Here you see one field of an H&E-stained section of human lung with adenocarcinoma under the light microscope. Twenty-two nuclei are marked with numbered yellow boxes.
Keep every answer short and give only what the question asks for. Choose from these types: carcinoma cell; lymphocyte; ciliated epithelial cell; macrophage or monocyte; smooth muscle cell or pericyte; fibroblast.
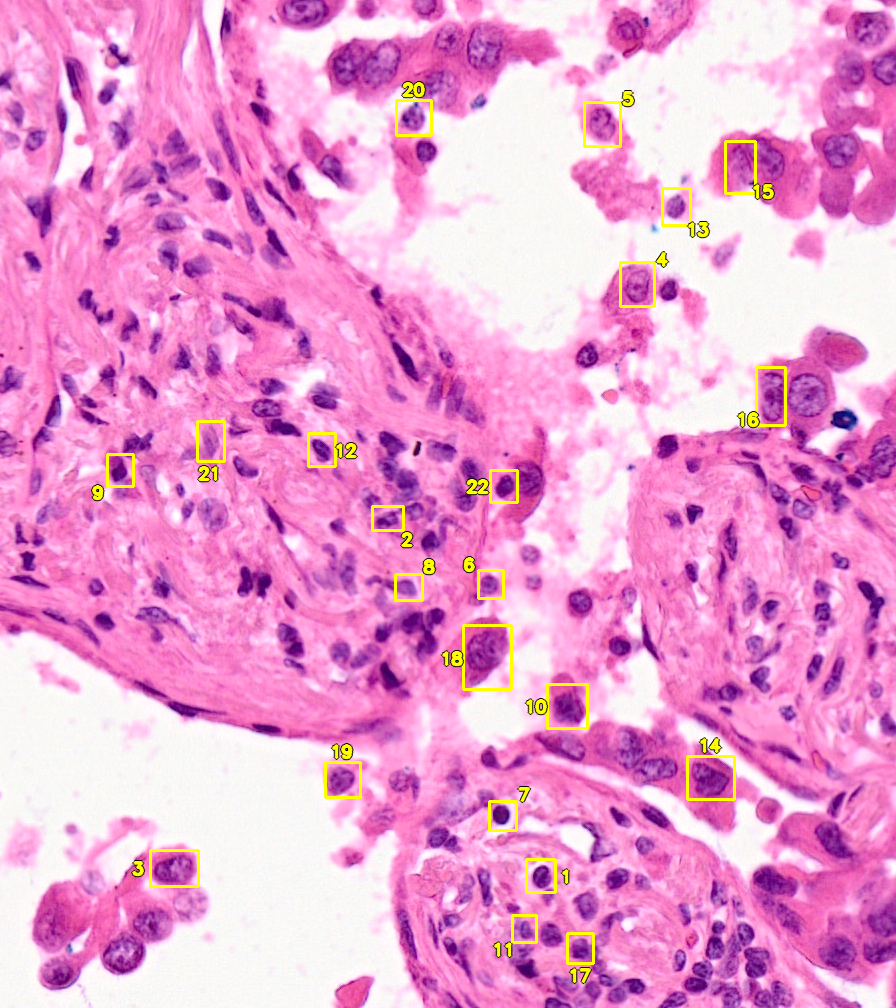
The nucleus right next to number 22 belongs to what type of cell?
carcinoma cell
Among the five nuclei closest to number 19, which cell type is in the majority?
fibroblast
